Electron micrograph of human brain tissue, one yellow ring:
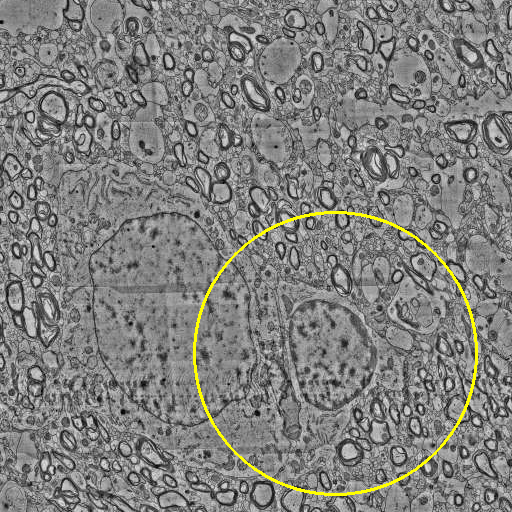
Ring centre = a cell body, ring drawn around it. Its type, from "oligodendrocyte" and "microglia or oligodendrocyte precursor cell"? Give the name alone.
microglia or oligodendrocyte precursor cell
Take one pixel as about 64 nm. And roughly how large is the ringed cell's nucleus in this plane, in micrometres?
In this plane the nucleus measures roughly 7 by 5 micrometres.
